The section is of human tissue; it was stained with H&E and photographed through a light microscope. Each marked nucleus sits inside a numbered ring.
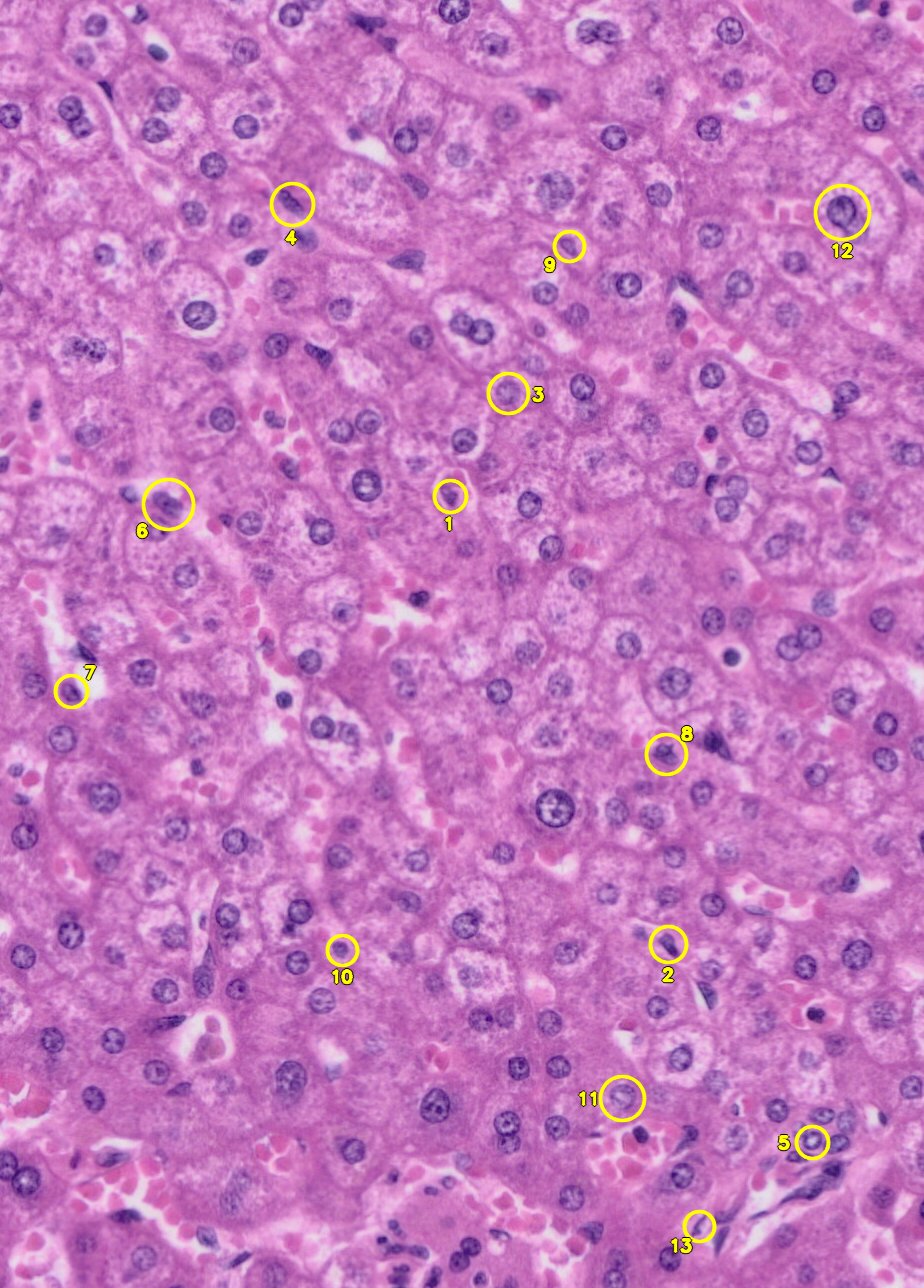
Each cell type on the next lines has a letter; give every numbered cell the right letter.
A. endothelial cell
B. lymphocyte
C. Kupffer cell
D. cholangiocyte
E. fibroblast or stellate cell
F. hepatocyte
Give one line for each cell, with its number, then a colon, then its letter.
1: C
2: B
3: F
4: E
5: D
6: A
7: C
8: A
9: C
10: B
11: F
12: F
13: E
